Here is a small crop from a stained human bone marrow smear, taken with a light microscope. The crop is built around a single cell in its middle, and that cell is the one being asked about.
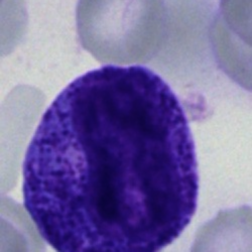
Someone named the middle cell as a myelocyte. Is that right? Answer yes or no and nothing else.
yes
